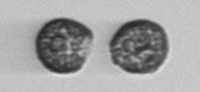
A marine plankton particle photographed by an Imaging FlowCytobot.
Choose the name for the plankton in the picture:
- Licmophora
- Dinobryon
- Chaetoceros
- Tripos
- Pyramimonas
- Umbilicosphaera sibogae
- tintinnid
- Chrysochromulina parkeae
Umbilicosphaera sibogae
